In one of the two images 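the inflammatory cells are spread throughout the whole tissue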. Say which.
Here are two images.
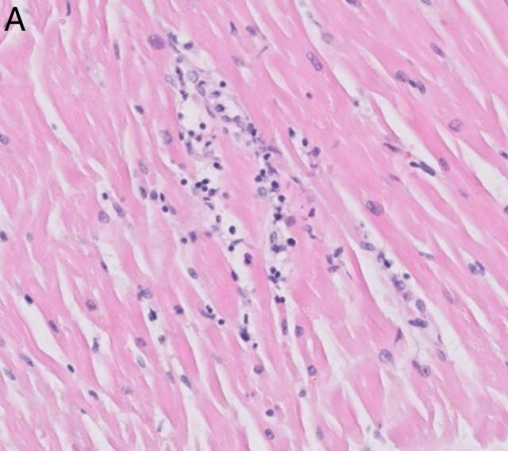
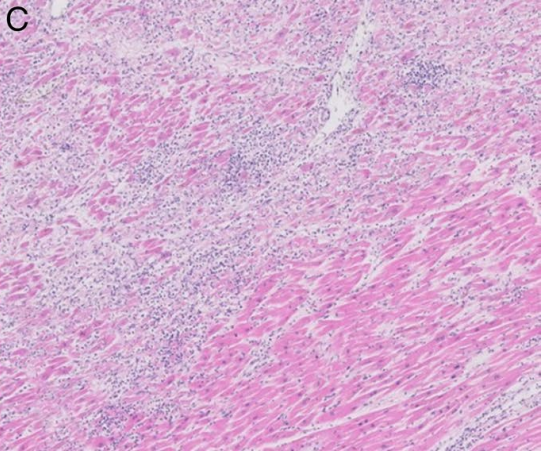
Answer: The second image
